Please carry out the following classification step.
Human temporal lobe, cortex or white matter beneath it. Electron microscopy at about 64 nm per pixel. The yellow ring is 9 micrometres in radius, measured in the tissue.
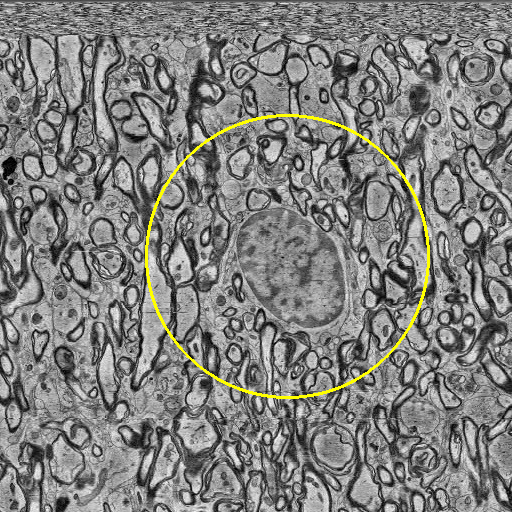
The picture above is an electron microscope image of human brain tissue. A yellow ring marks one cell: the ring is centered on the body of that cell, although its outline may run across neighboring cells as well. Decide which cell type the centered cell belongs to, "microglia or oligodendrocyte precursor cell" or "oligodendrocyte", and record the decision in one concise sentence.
The cell centered in the yellow ring is a microglial cell or oligodendrocyte precursor cell.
